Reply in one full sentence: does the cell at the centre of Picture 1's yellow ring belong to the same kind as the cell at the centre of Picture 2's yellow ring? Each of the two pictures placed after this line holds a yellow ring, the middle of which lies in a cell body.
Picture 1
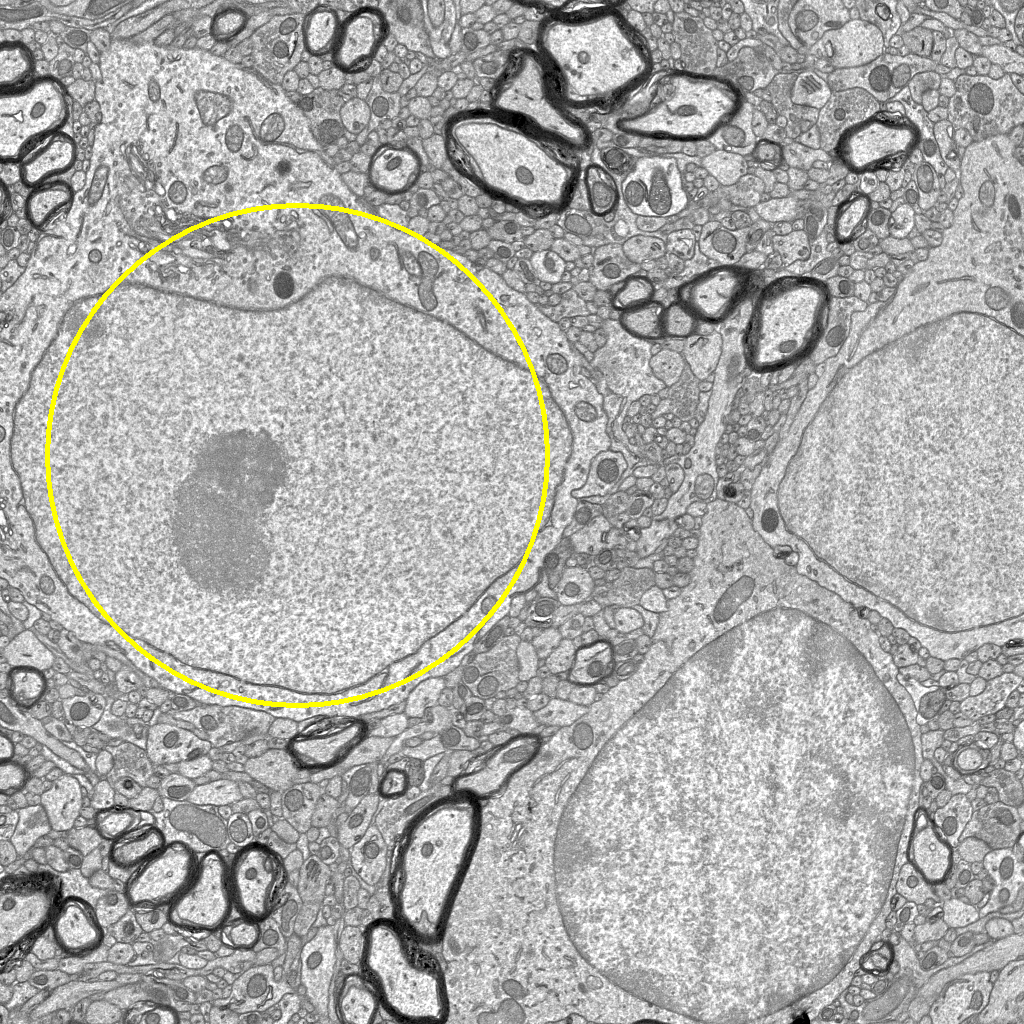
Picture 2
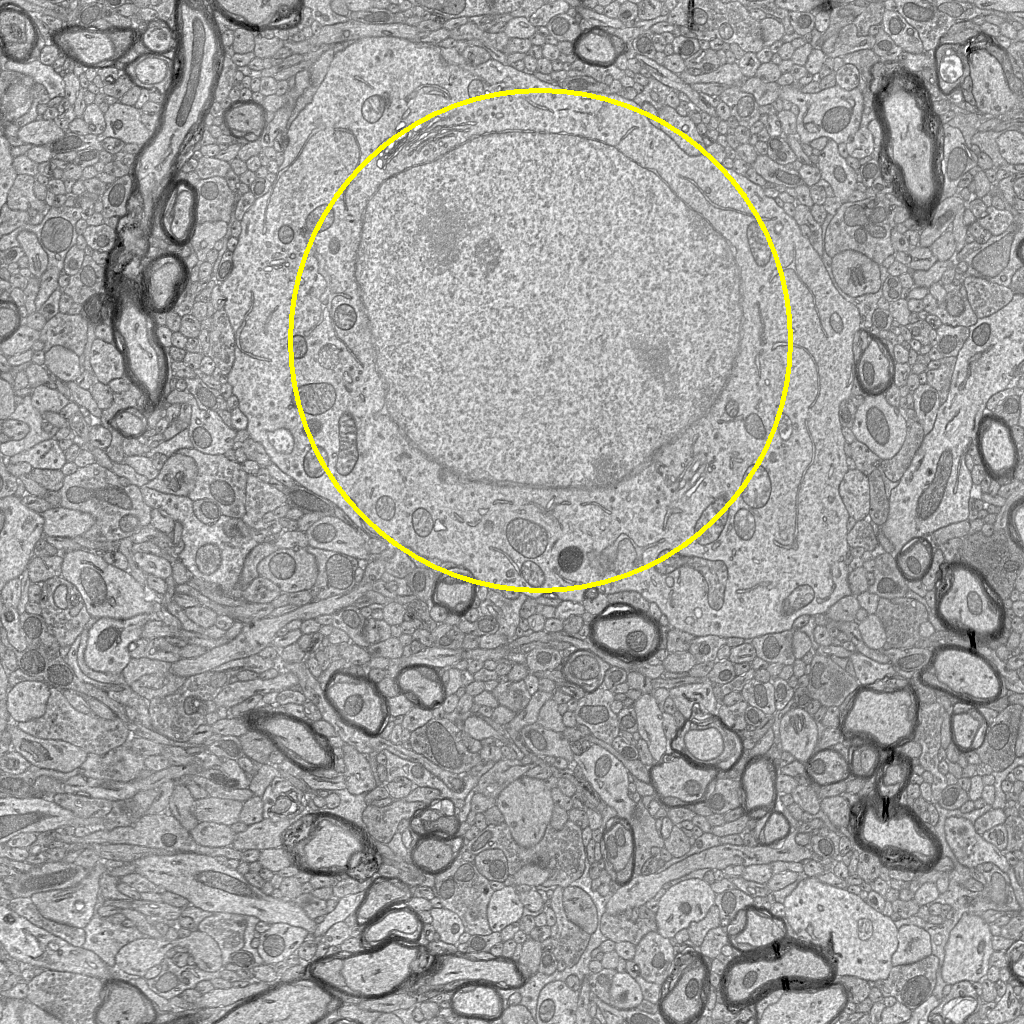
Yes, the cells at the ring centres in Picture 1 and Picture 2 are of one and the same kind.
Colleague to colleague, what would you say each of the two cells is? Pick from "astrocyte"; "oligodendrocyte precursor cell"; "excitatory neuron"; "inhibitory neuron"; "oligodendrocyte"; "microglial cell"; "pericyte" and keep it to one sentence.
The cell in the first picture is an excitatory neuron, and so is the one in the second.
